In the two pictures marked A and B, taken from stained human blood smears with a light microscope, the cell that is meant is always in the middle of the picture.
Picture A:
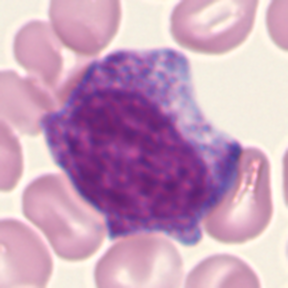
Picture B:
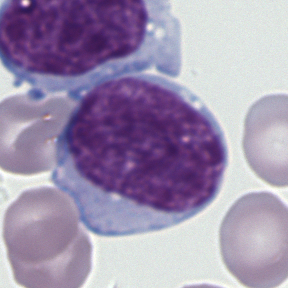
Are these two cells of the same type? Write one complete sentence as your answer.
No, picture A shows a promyelocyte and picture B shows a myeloblast.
